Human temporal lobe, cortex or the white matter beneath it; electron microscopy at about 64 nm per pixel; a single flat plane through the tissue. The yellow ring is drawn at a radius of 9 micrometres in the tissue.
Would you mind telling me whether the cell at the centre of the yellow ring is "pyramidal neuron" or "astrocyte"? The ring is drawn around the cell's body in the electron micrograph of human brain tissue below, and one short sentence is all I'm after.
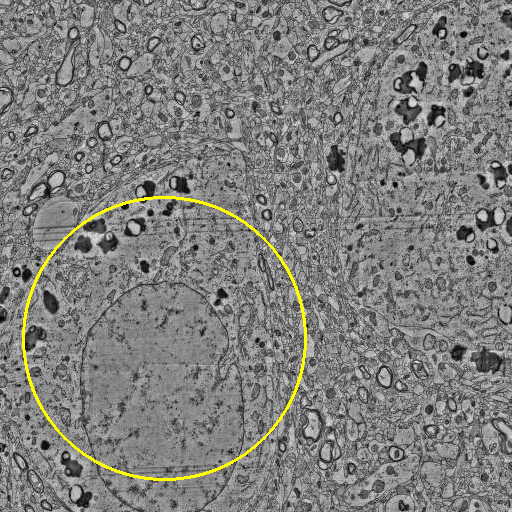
In the centre of the ring lies a pyramidal neuron.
